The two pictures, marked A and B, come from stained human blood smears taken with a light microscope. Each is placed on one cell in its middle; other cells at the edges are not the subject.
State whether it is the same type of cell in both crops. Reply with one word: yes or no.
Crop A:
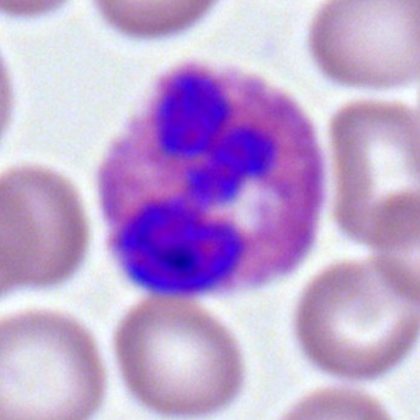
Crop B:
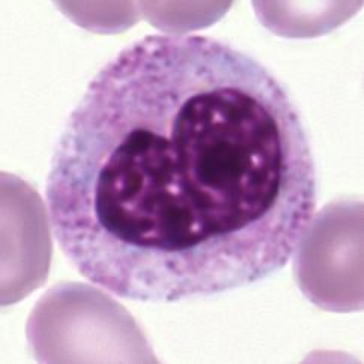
no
